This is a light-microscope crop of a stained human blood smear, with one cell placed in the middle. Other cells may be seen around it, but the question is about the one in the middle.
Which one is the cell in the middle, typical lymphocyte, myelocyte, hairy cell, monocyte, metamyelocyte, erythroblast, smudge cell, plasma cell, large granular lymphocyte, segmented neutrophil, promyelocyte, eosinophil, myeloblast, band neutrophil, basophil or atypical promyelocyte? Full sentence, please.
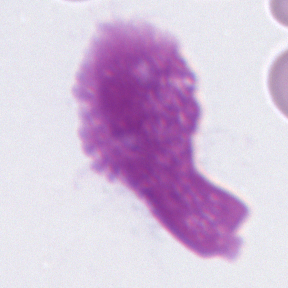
The single cell at the center of the crop is a smudge cell.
